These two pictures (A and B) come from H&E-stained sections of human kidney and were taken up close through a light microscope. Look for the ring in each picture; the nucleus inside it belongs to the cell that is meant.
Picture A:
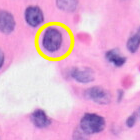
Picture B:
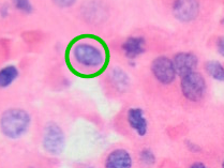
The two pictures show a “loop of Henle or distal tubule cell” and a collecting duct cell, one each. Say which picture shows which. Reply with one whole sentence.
Picture A is of a collecting duct cell, and picture B is of a “loop of Henle or distal tubule cell”.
